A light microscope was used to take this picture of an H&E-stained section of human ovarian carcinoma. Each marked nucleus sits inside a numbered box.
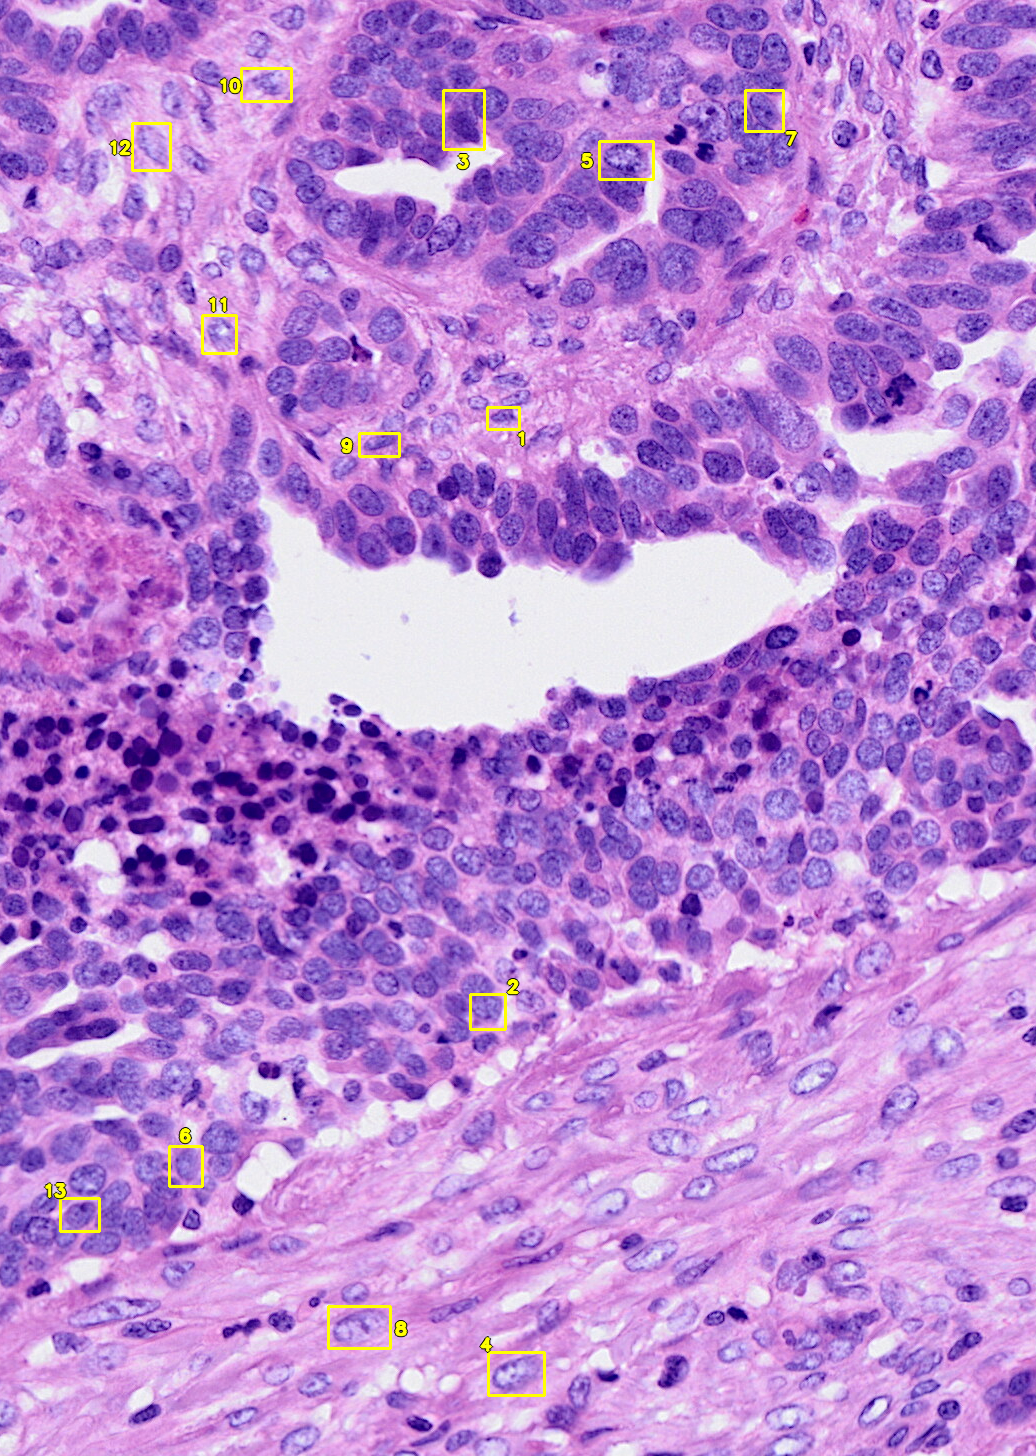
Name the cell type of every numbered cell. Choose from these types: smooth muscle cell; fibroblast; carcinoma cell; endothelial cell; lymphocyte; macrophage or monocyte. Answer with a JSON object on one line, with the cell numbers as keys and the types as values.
{"1": "fibroblast", "2": "carcinoma cell", "3": "carcinoma cell", "4": "fibroblast", "5": "carcinoma cell", "6": "carcinoma cell", "7": "carcinoma cell", "8": "fibroblast", "9": "fibroblast", "10": "fibroblast", "11": "fibroblast", "12": "fibroblast", "13": "carcinoma cell"}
